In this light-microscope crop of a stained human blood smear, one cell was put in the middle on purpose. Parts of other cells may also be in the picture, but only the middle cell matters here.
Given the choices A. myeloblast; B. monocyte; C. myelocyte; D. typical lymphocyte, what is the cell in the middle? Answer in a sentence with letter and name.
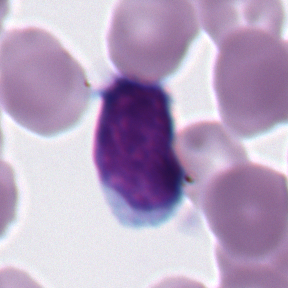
The centrally located cell is a typical lymphocyte, making option D the correct choice.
